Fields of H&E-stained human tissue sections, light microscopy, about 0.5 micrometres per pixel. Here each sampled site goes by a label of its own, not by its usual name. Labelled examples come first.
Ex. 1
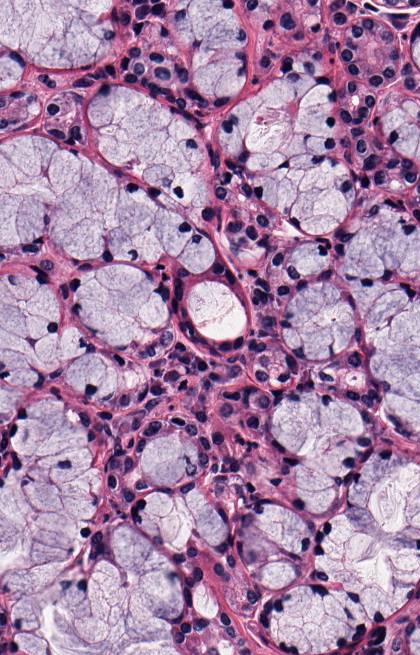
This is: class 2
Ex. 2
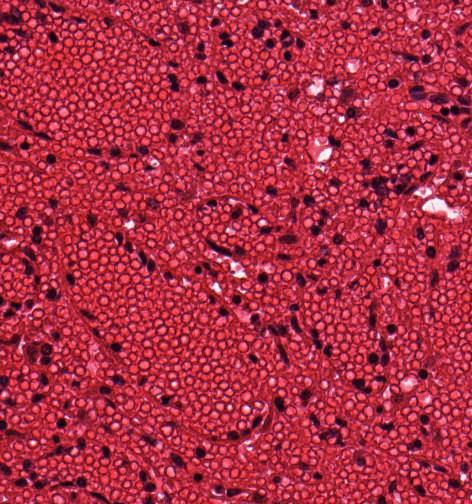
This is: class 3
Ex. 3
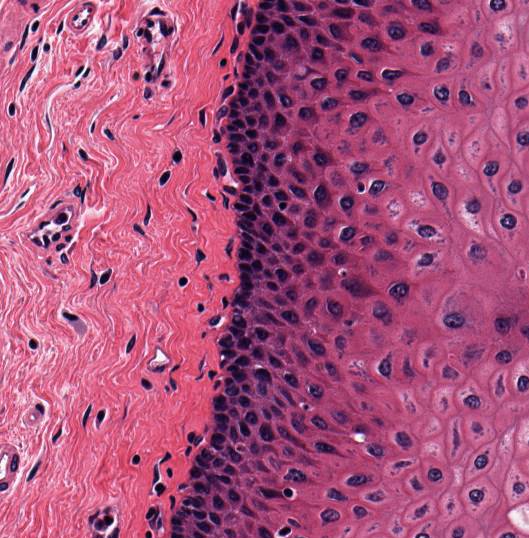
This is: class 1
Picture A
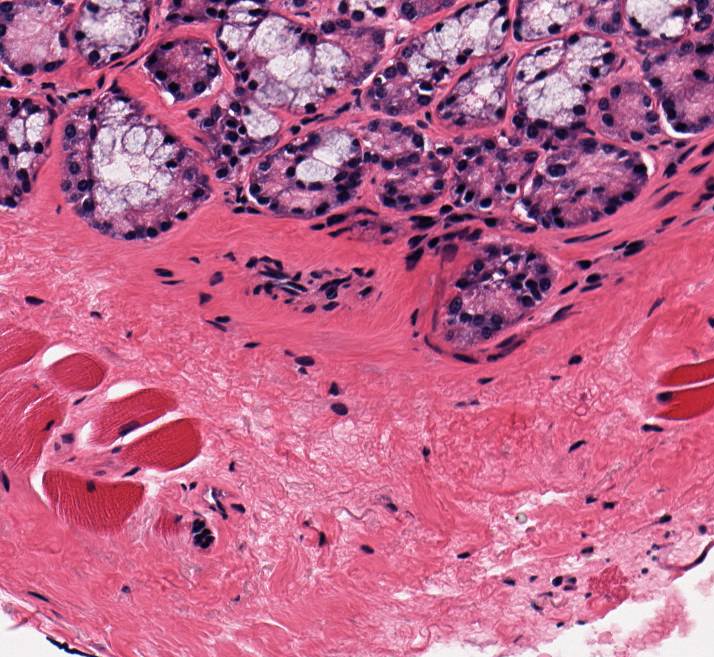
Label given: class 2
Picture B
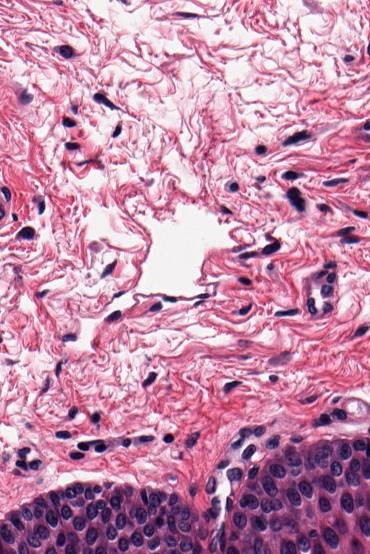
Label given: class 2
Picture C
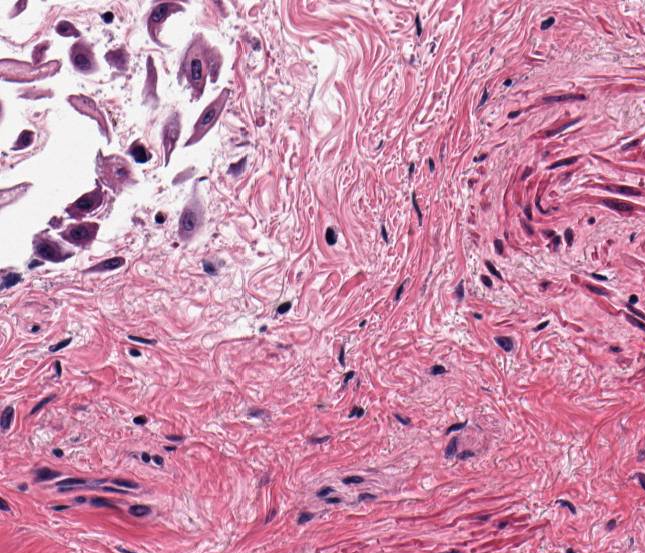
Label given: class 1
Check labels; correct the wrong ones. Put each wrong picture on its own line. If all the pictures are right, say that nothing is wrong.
B: not class 2 but class 1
